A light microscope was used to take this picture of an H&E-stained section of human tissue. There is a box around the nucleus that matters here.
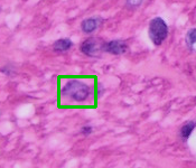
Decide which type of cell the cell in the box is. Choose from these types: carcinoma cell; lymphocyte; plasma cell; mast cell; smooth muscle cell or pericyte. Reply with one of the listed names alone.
mast cell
